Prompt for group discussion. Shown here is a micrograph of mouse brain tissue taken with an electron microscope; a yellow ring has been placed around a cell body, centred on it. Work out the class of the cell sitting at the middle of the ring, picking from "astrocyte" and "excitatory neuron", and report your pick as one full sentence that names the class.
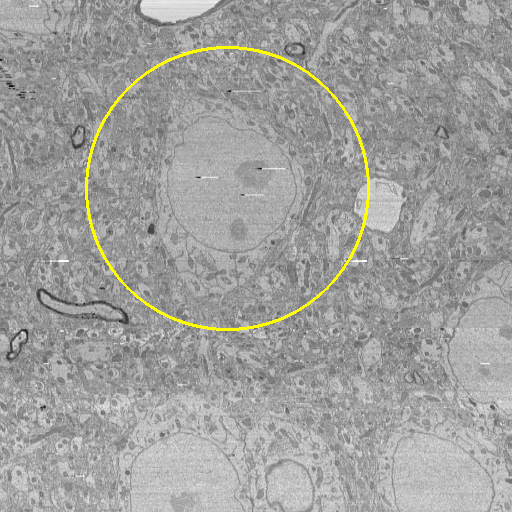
The cell sitting at the middle of the yellow ring is an excitatory neuron.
